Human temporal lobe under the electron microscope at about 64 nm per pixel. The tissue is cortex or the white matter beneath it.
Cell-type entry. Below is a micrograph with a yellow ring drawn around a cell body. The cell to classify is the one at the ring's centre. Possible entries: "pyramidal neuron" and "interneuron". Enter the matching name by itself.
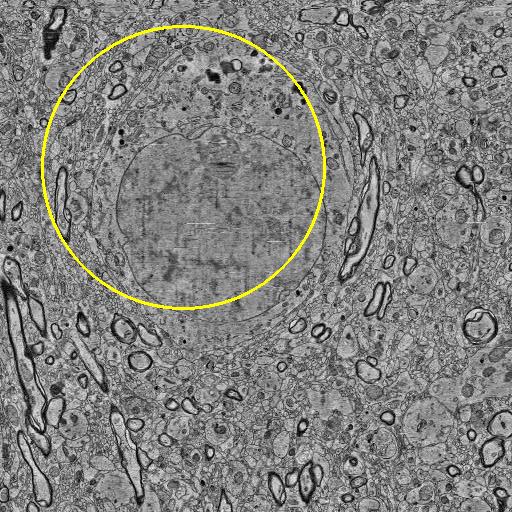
pyramidal neuron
